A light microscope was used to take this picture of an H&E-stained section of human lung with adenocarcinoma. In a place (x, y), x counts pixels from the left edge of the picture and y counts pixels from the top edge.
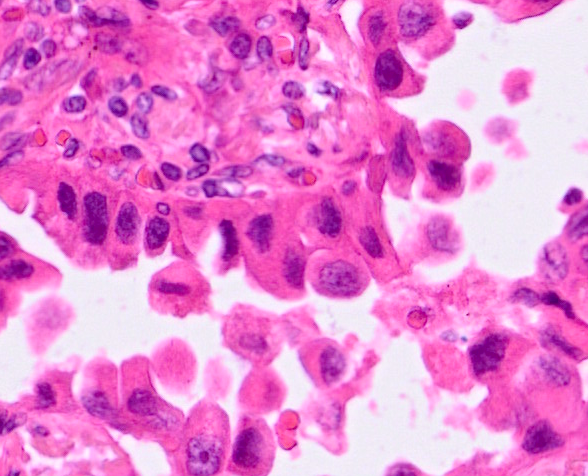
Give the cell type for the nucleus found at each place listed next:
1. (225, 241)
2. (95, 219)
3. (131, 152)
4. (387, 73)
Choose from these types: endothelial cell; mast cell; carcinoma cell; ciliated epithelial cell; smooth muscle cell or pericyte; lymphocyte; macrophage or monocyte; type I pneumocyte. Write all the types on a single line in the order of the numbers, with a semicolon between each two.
carcinoma cell; carcinoma cell; lymphocyte; carcinoma cell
